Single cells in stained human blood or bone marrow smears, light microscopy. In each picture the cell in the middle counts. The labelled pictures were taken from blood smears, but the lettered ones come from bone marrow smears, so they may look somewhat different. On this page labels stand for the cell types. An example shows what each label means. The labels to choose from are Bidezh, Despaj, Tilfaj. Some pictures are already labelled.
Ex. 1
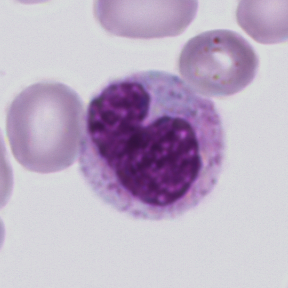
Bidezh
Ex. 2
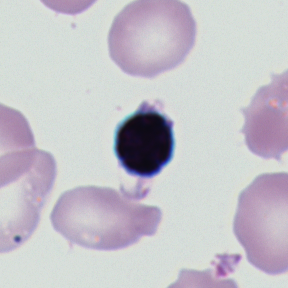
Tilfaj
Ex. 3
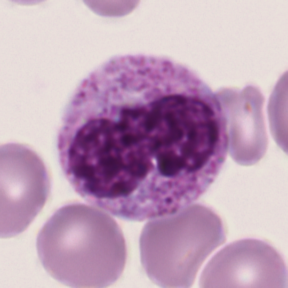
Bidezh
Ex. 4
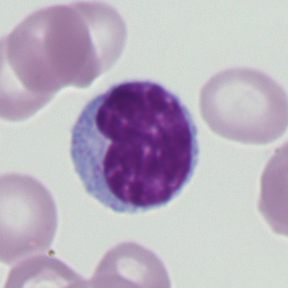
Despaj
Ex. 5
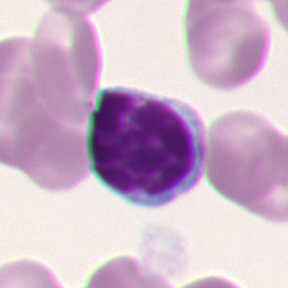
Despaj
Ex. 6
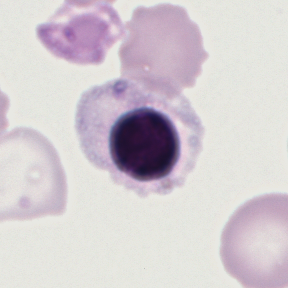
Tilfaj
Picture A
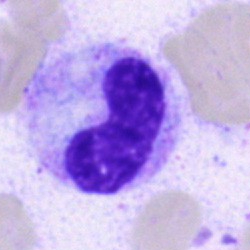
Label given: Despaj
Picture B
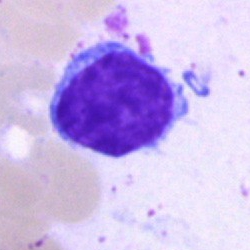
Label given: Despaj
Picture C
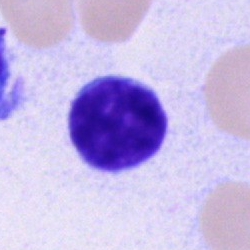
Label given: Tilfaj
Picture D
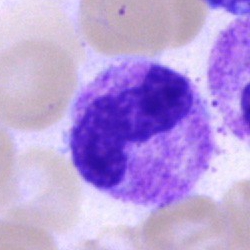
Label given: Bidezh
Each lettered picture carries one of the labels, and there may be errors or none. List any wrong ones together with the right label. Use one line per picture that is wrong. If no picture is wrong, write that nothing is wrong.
A should be Bidezh, not Despaj
C should be Despaj, not Tilfaj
